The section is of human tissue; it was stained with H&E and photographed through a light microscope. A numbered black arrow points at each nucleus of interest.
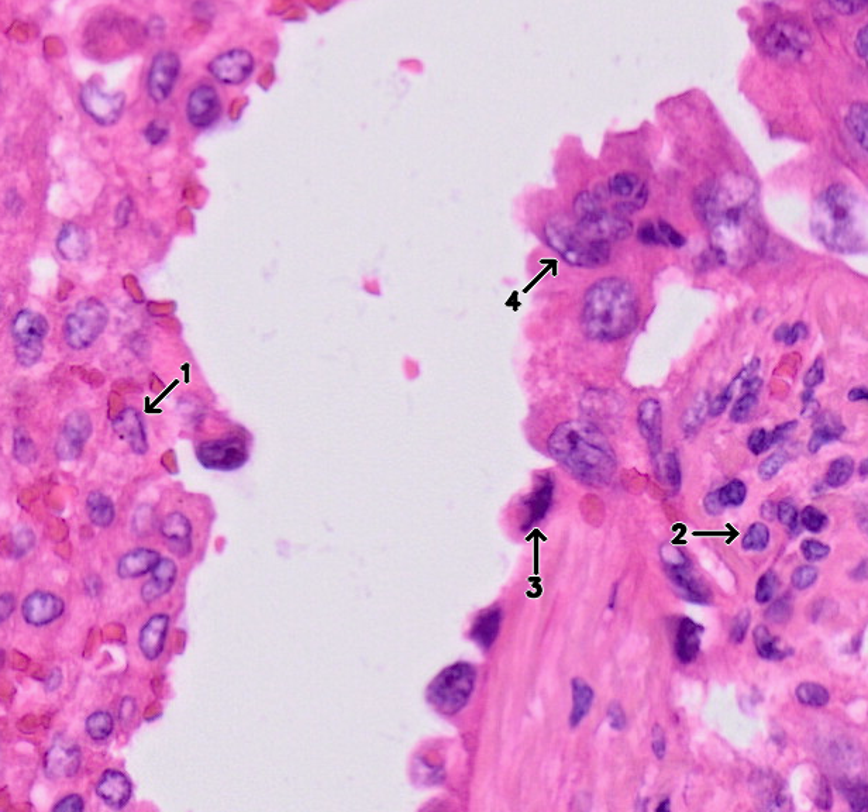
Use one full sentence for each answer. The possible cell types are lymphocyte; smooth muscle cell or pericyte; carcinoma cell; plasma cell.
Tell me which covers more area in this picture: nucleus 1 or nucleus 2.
Nucleus 1 covers more area, about 2 times as much as nucleus 2.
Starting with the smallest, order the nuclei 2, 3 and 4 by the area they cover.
Smallest first, the nuclei run 2, 3, 4.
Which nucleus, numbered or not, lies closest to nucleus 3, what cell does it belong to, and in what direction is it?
A carcinoma cell lies closest, above and to the right of nucleus 3.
